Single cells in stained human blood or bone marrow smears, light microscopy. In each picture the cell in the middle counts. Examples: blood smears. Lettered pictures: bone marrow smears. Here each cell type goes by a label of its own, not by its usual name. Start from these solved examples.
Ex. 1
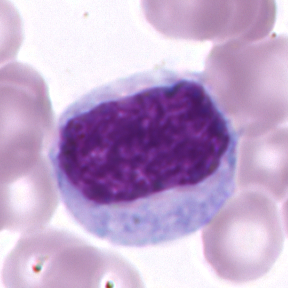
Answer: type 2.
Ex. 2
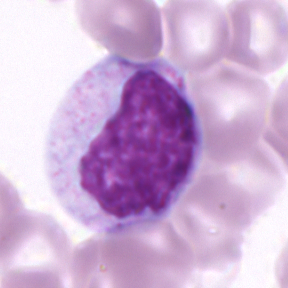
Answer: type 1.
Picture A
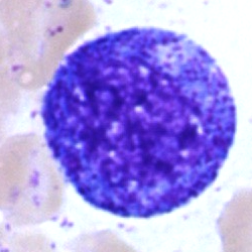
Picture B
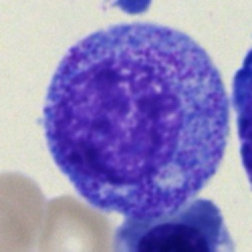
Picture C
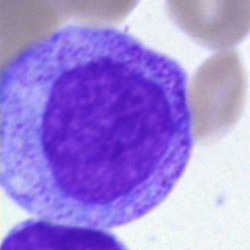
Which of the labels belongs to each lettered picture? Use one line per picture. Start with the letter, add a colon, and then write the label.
A: type 2.
B: type 1.
C: type 1.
